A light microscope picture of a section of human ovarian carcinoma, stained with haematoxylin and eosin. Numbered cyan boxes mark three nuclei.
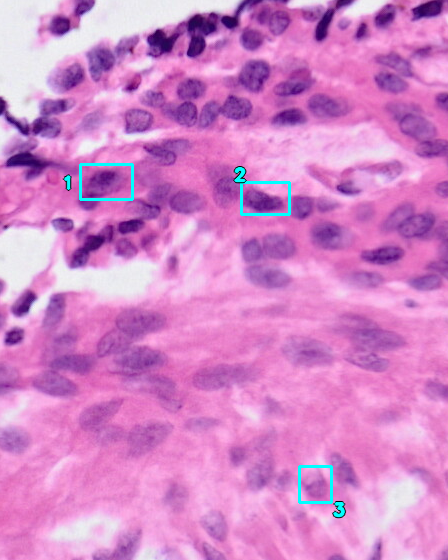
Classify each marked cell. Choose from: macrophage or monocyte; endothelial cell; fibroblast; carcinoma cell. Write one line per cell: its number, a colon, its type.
1: endothelial cell
2: fibroblast
3: fibroblast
